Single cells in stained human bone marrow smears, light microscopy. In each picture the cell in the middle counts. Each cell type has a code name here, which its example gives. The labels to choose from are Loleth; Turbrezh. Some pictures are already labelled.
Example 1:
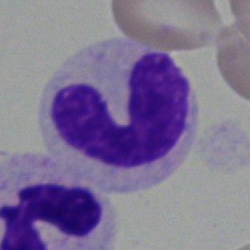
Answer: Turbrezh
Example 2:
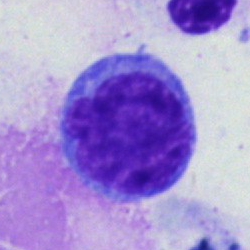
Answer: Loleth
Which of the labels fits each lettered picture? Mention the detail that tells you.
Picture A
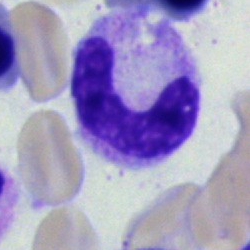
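Turbrezh. Reason: The cytoplasm is plentiful and pale lilac, filling the hollow of the nuclear curve.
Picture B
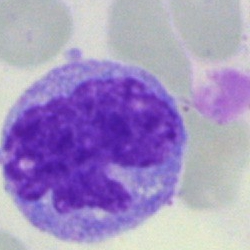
Loleth. Reason: The nucleus fills most of the cell.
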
